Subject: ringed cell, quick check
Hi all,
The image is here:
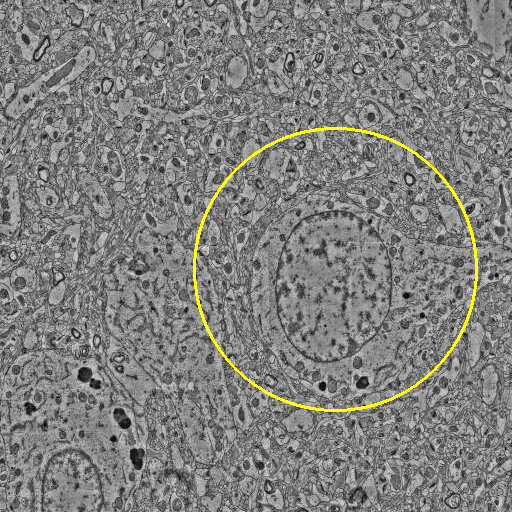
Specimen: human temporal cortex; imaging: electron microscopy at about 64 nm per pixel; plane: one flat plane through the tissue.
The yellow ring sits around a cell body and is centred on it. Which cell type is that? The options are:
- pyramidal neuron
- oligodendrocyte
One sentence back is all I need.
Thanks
That ringed cell is a pyramidal neuron.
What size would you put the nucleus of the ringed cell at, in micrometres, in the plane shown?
In this plane, about 10 micrometres in length and 8 in width.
